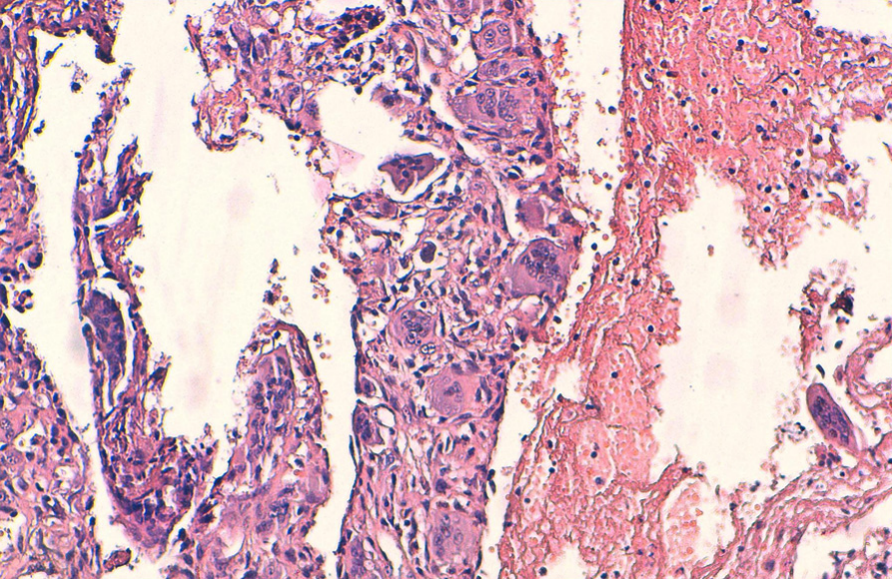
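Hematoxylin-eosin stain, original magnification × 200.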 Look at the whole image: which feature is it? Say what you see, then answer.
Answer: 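Wide spaces lie between the tissue strands. The space on the right is filled with pink red blood cells.
Conclusion: blood-filled cystic spaces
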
